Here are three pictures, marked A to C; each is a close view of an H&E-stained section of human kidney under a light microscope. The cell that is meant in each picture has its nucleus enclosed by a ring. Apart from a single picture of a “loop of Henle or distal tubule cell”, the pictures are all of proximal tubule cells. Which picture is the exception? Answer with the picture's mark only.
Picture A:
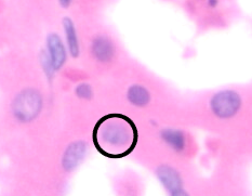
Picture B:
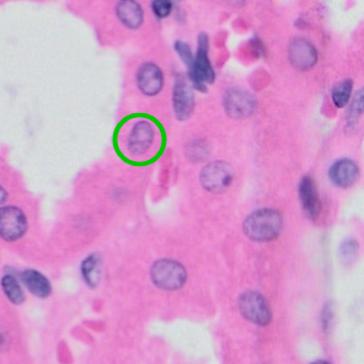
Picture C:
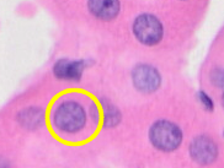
A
